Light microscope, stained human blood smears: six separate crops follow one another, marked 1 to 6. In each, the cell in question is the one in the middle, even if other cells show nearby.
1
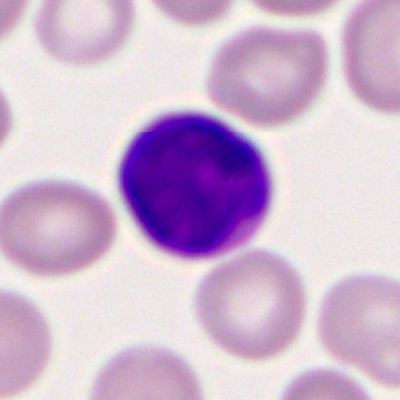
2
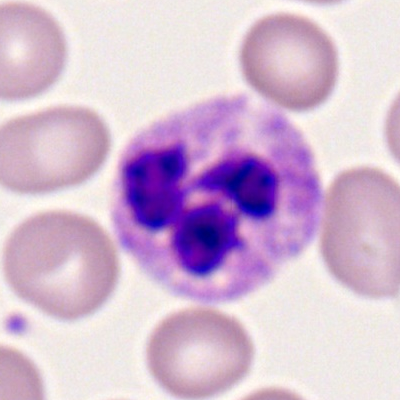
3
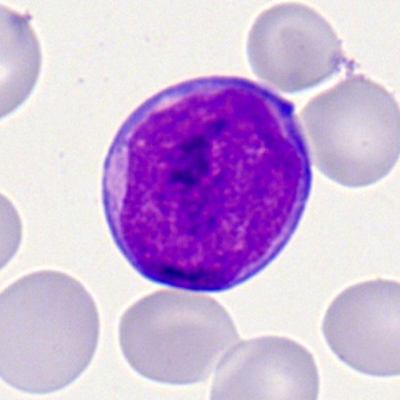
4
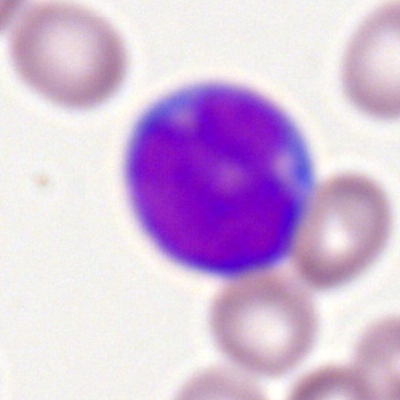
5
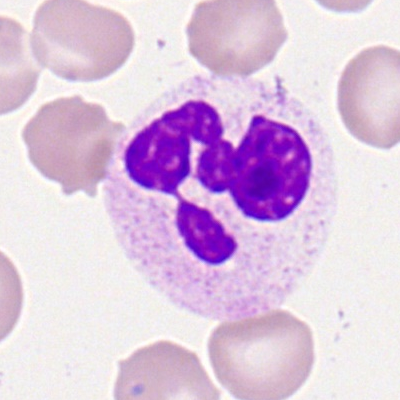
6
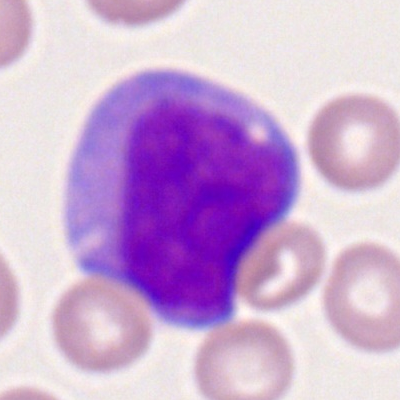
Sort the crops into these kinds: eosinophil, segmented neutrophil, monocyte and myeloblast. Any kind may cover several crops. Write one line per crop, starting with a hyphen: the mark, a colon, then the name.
- 1: myeloblast
- 2: segmented neutrophil
- 3: myeloblast
- 4: myeloblast
- 5: segmented neutrophil
- 6: myeloblast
